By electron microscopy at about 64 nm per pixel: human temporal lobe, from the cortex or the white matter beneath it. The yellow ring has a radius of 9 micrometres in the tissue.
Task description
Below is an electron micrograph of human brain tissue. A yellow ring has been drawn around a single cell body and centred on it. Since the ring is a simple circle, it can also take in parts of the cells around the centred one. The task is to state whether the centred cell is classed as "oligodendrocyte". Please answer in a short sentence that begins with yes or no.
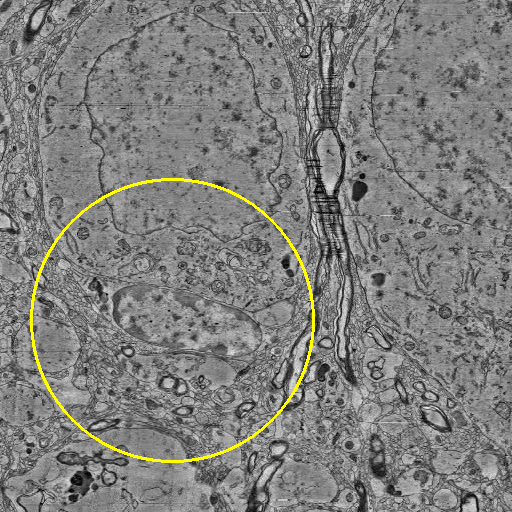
No, the centred cell is classed otherwise.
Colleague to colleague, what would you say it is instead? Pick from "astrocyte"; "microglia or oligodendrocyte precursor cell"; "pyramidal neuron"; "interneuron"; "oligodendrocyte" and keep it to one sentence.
At the centre of the ring sits a microglial cell or oligodendrocyte precursor cell.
